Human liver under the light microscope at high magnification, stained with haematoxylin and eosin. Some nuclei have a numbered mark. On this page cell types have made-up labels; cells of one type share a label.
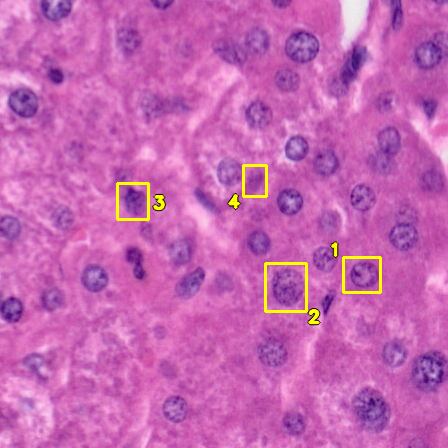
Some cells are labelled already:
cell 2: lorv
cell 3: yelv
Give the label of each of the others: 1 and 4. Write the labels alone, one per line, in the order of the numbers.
lorv
lorv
